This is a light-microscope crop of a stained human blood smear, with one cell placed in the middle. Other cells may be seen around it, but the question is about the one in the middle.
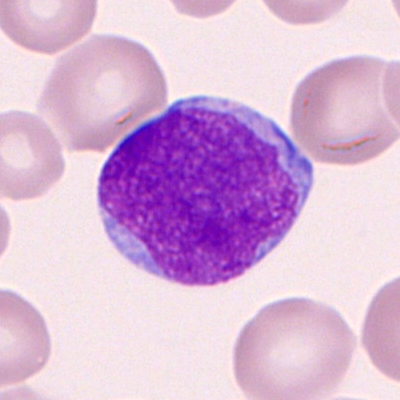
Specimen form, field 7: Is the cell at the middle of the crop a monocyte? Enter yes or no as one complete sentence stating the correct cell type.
No, it is not a monocyte that lies in the middle but a myeloblast.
